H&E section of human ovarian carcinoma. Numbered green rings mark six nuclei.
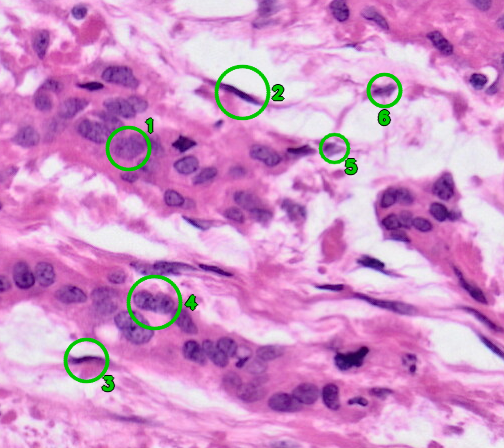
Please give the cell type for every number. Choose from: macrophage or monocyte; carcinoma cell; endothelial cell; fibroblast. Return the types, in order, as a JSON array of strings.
["carcinoma cell", "fibroblast", "fibroblast", "carcinoma cell", "fibroblast", "fibroblast"]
